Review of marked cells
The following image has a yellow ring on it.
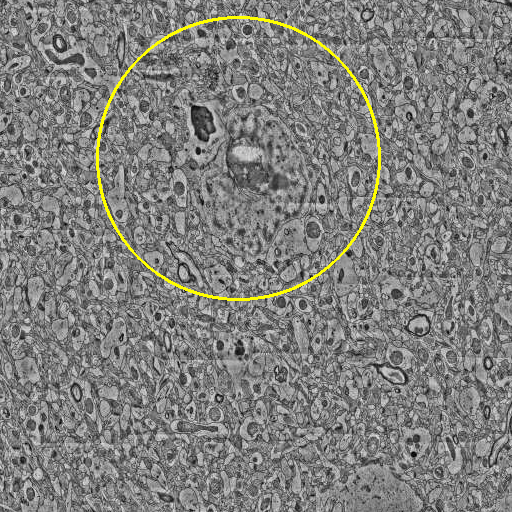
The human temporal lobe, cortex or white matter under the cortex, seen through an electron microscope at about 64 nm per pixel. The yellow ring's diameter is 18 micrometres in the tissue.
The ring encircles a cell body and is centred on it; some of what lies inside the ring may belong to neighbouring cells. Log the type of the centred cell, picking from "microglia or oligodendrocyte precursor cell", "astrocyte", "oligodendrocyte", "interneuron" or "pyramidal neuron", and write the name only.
interneuron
